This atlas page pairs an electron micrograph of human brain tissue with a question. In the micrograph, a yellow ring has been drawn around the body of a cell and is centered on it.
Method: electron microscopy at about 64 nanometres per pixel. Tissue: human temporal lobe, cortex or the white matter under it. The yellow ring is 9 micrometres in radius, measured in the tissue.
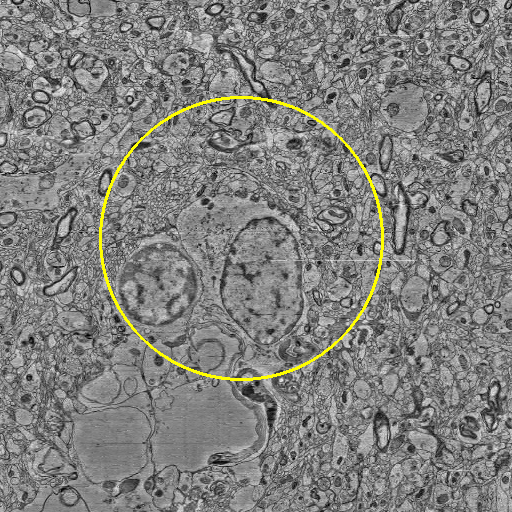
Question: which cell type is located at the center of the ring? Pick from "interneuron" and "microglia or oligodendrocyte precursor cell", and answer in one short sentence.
Located at the center of the ring is a microglial cell or oligodendrocyte precursor cell.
